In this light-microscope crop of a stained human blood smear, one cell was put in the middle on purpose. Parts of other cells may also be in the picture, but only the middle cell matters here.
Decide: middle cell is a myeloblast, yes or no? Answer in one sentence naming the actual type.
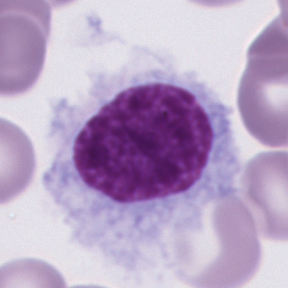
No, the cell in the middle is categorised as a hairy cell, not a myeloblast.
